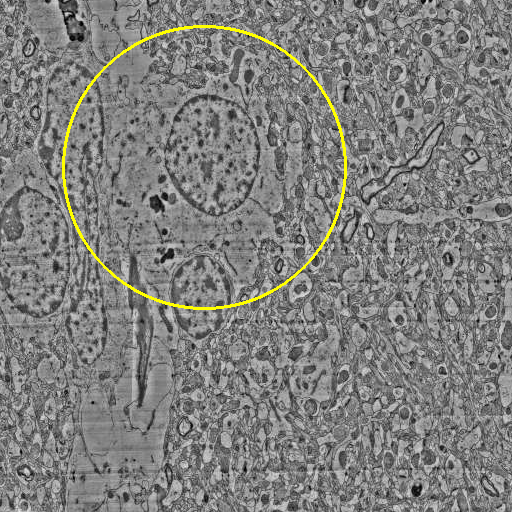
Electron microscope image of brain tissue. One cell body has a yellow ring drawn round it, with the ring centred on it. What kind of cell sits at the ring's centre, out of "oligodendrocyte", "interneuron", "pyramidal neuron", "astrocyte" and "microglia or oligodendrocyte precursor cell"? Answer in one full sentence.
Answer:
It is an astrocyte whose cell body sits at the centre of the yellow ring.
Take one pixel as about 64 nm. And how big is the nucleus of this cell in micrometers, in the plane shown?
In this plane the nucleus is about 8 micrometres by 6.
